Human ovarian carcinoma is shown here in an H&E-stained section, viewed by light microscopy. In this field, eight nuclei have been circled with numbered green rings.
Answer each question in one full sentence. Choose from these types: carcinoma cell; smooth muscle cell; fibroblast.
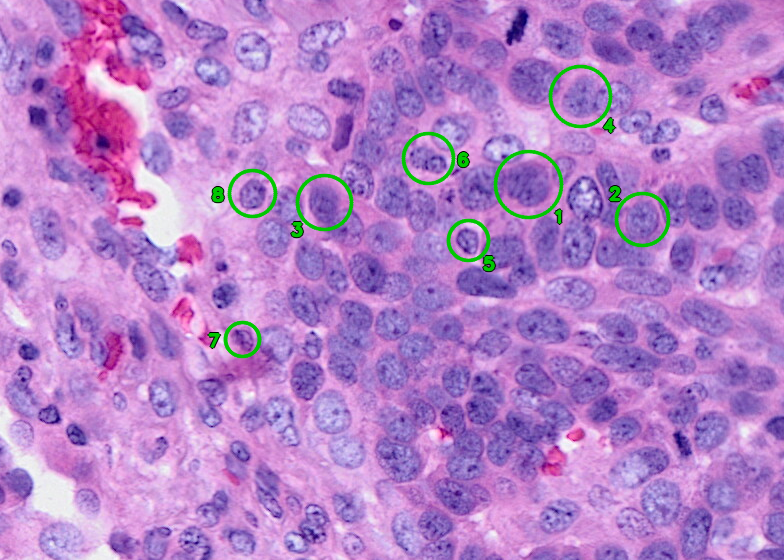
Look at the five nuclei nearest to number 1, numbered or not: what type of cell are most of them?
Most of the five nuclei nearest to number 1 are those of carcinoma cells.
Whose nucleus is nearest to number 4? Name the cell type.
The nucleus nearest to number 4 is that of a carcinoma cell.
